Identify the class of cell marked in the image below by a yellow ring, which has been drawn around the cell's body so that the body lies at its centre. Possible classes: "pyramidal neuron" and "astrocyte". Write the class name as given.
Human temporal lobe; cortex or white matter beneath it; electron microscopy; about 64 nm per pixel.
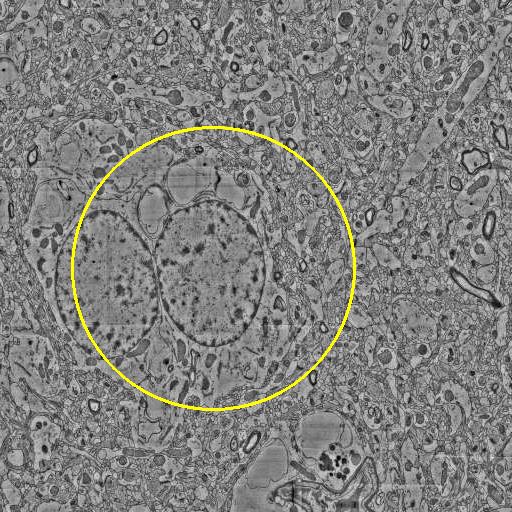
astrocyte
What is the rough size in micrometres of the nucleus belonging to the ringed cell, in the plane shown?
Roughly 9 by 7 micrometres in this plane, for the nucleus of the ringed cell.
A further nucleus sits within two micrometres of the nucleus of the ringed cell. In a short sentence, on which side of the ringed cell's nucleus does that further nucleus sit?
The second nucleus is to the left of it.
